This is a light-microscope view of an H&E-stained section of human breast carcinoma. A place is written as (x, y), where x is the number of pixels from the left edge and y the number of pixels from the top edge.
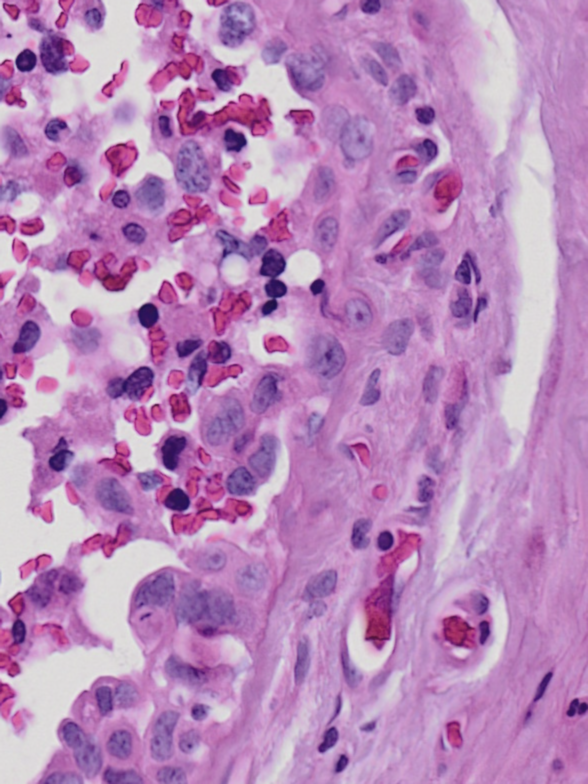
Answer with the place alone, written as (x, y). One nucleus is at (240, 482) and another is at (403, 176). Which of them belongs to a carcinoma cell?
(240, 482)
